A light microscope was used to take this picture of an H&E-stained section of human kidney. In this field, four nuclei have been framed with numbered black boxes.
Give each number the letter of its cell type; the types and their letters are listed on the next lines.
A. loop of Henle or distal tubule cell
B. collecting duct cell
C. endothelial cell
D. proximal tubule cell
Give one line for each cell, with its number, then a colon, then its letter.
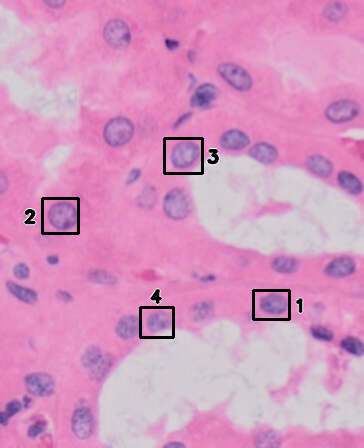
1: A
2: D
3: A
4: A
